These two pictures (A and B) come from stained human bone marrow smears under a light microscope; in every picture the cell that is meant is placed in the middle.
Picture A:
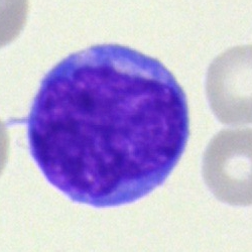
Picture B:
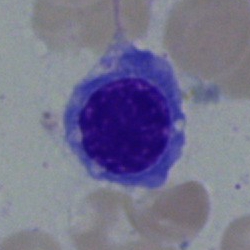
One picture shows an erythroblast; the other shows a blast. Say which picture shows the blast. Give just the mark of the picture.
A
